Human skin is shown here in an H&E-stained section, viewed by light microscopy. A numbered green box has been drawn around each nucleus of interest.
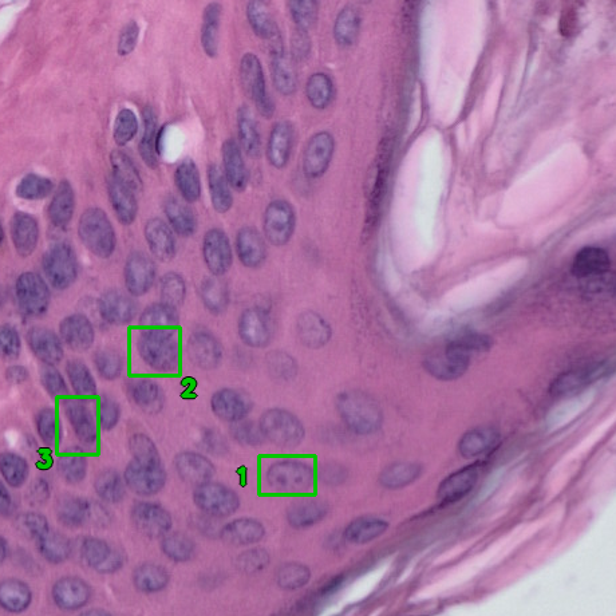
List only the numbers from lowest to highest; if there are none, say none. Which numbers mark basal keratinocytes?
3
